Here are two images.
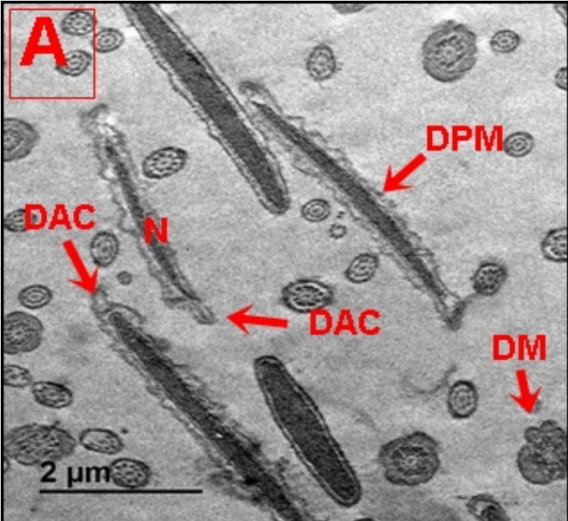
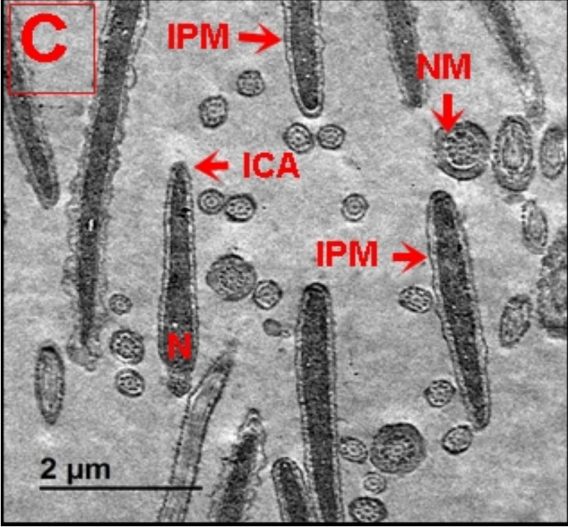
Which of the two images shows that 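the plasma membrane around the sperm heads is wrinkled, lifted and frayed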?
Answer: The first image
